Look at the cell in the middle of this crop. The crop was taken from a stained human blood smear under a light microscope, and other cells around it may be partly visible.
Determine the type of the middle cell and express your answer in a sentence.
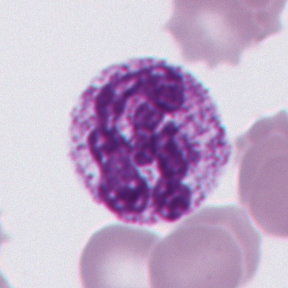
Framed in the middle of the crop is a segmented neutrophil.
